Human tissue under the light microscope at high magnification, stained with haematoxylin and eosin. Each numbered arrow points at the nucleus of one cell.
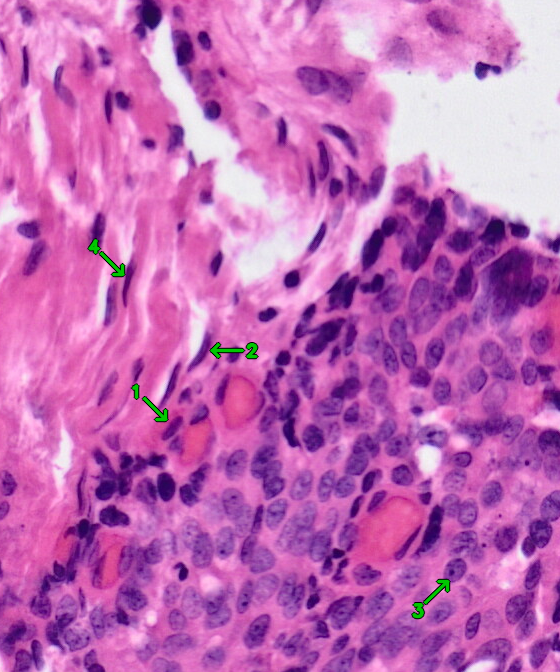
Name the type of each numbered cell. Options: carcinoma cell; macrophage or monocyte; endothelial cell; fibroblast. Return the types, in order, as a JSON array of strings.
["endothelial cell", "fibroblast", "macrophage or monocyte", "fibroblast"]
